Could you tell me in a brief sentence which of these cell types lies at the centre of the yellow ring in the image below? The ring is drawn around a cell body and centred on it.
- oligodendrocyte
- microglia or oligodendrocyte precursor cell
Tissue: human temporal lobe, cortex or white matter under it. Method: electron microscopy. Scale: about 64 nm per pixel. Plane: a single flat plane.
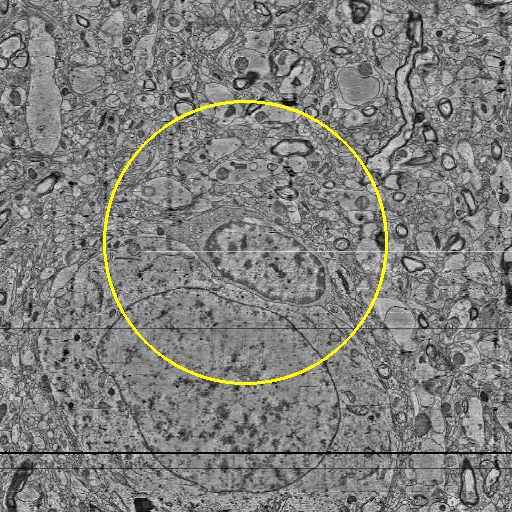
The cell centred in the ring is an oligodendrocyte.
